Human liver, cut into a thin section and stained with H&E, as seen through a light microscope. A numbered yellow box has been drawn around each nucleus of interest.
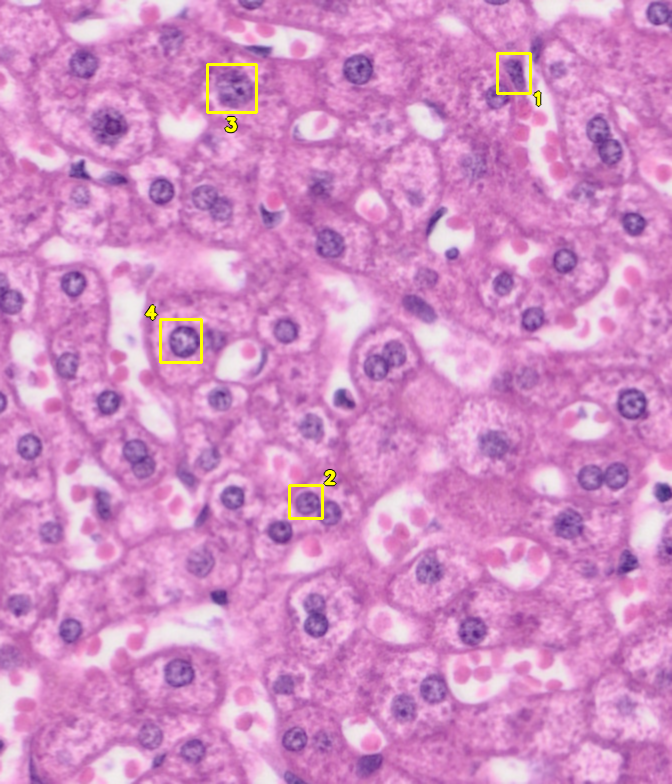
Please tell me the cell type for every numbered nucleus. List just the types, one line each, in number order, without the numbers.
Kupffer cell
hepatocyte
hepatocyte
hepatocyte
